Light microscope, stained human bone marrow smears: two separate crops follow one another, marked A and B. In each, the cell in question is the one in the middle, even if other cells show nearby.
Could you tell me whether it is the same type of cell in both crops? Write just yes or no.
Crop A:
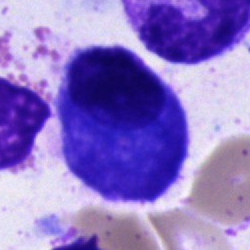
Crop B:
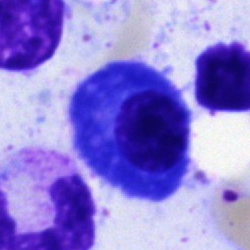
yes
